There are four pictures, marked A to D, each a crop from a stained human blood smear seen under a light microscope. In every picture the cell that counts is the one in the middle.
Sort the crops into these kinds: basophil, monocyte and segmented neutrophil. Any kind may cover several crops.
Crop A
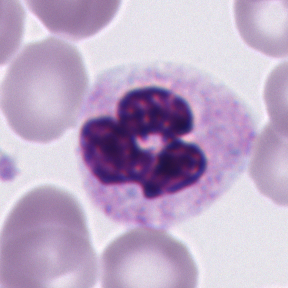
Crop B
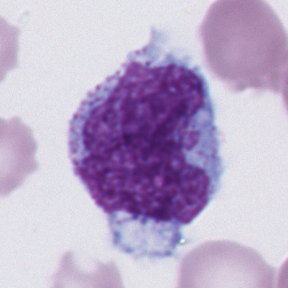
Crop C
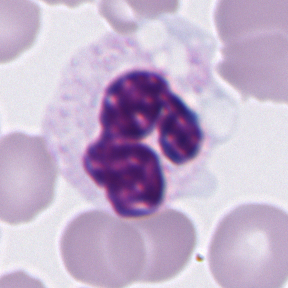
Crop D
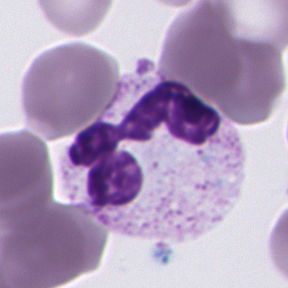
A: segmented neutrophil
B: monocyte
C: segmented neutrophil
D: segmented neutrophil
